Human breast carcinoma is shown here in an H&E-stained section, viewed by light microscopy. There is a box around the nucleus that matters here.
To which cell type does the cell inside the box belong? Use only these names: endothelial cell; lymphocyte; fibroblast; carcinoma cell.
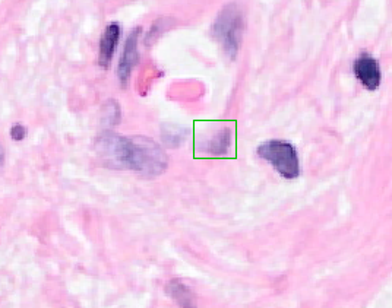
endothelial cell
